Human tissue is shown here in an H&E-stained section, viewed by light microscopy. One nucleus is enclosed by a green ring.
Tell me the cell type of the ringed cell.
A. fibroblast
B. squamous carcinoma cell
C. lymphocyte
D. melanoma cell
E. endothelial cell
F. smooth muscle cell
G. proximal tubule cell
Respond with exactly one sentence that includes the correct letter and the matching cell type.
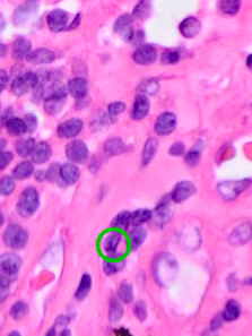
Among the choices, option C is correct, the ringed cell being a lymphocyte.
